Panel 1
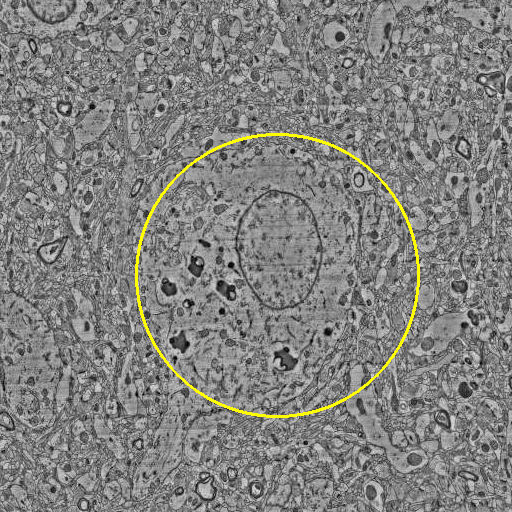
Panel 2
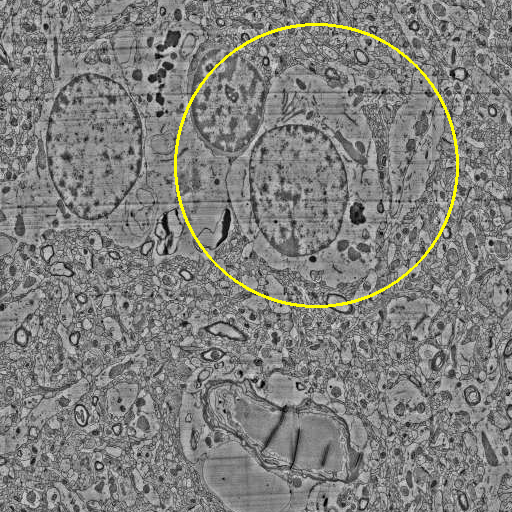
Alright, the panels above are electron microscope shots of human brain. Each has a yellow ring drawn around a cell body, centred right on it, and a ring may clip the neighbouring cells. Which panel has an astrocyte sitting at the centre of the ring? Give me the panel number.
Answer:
2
